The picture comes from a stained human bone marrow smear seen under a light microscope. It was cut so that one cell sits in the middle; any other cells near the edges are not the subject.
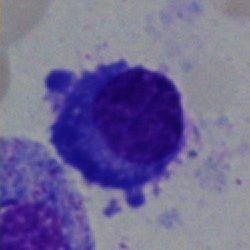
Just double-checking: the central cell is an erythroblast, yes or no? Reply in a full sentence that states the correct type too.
No, the cell in the centre is a plasma cell instead of an erythroblast.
